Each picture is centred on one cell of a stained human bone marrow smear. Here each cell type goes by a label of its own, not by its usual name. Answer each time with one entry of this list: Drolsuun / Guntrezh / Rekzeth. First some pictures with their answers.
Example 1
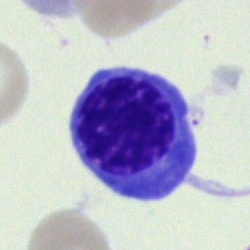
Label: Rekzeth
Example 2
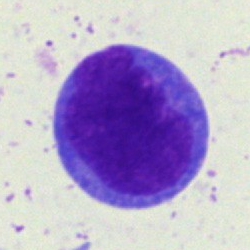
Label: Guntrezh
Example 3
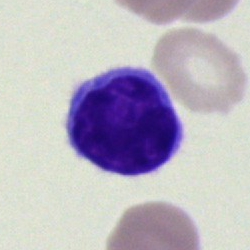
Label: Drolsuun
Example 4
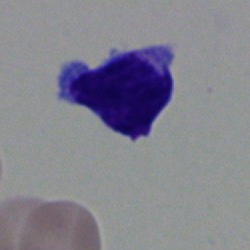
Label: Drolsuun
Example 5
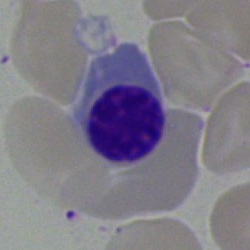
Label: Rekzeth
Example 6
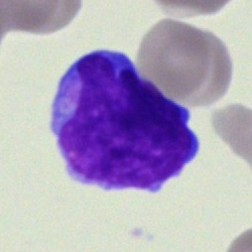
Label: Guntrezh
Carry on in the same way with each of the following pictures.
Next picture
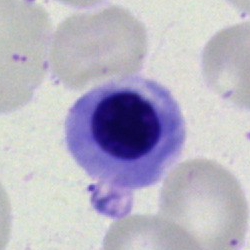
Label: Rekzeth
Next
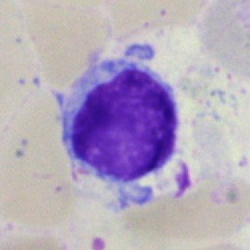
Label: Drolsuun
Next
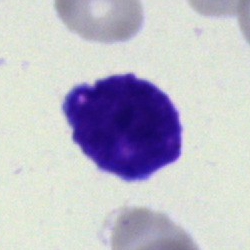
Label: Guntrezh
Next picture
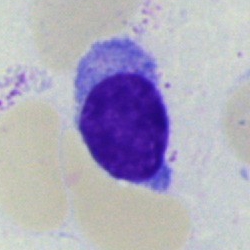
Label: Drolsuun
